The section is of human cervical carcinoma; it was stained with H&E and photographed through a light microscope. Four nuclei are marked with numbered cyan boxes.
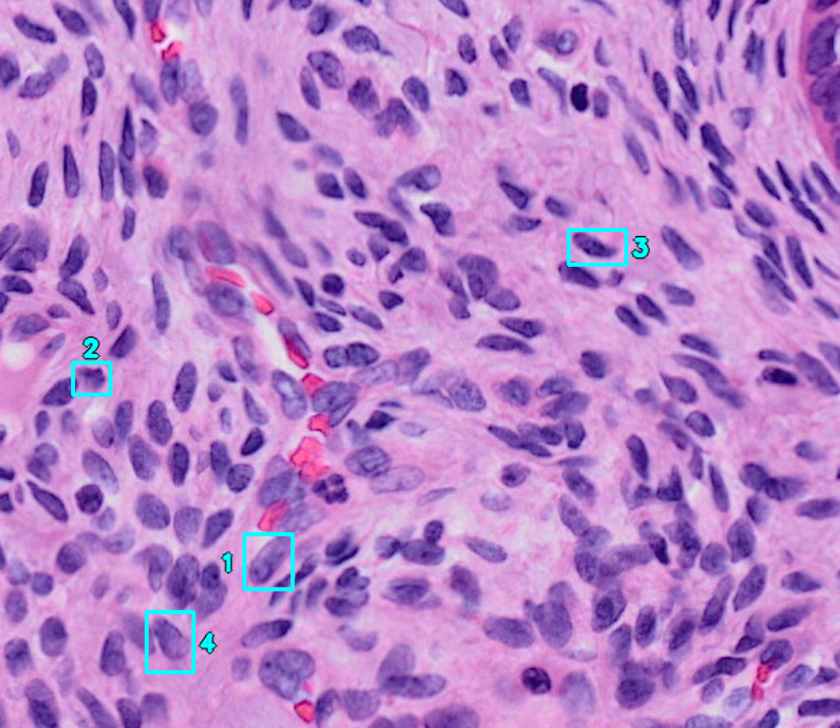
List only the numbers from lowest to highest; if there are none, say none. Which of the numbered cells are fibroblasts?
2, 3, 4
